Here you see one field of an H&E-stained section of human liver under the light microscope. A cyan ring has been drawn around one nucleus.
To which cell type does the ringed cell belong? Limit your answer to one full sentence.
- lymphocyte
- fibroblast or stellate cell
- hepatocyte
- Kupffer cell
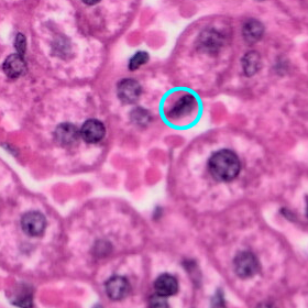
In short, the ringed cell on this section is a fibroblast or stellate cell.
